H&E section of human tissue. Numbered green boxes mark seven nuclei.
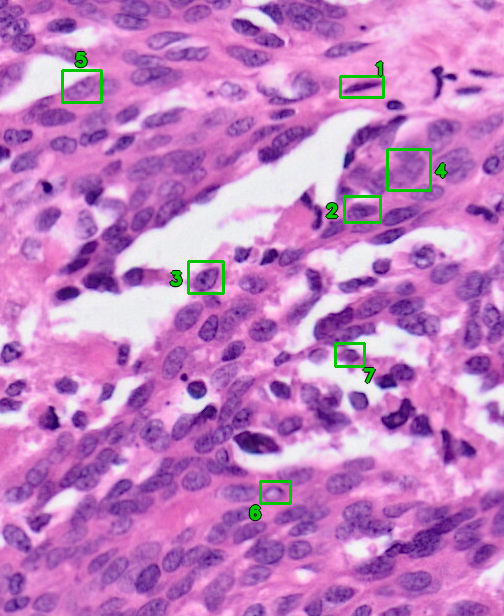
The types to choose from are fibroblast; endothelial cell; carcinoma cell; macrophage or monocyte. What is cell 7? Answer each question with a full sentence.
The numbered cell 7 in this field is a carcinoma cell.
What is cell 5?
Identified by the number 5, the cell is a carcinoma cell.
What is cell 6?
Classified as an endothelial cell is the cell with the number 6.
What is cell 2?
Numbered cell 2 is a carcinoma cell in this tissue section.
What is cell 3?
Number 3 among the marked cells is a macrophage or monocyte.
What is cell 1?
The cell referred to as 1 is a fibroblast.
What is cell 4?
Number 4 is placed on a carcinoma cell here.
